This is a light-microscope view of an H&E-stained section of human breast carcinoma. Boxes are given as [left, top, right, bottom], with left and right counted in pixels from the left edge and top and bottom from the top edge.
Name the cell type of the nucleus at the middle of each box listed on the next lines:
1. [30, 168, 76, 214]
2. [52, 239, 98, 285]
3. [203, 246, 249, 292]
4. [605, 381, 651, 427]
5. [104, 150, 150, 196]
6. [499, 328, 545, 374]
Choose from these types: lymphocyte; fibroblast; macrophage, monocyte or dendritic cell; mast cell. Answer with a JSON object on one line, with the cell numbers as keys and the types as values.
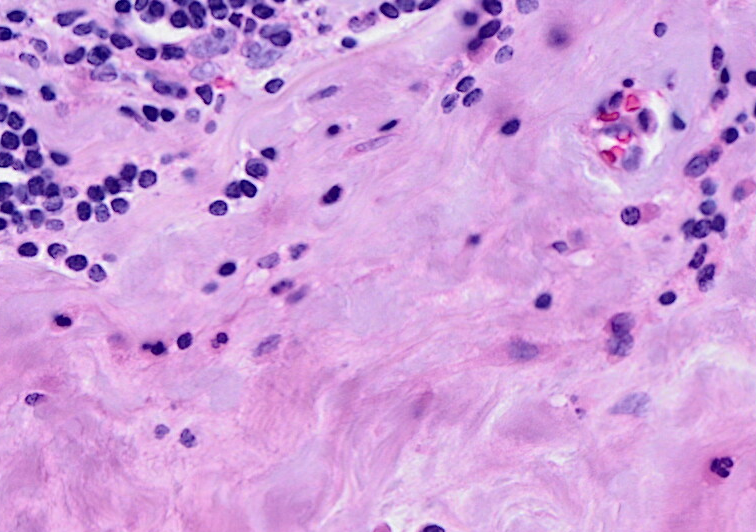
{"1": "lymphocyte", "2": "lymphocyte", "3": "lymphocyte", "4": "fibroblast", "5": "lymphocyte", "6": "fibroblast"}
